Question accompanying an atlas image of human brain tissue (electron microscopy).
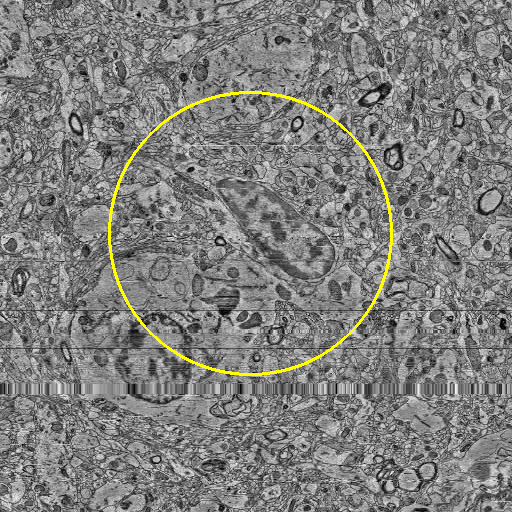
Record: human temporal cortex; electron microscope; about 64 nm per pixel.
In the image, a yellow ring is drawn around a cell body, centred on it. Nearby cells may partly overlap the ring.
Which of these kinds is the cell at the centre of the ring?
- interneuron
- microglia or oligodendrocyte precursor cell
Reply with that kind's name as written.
microglia or oligodendrocyte precursor cell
